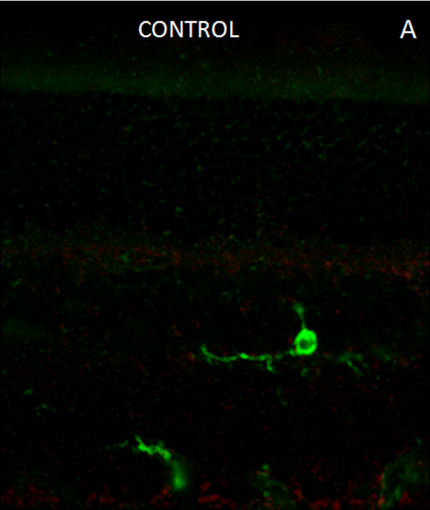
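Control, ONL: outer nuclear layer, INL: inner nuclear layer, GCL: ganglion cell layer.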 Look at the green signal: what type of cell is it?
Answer: microglia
